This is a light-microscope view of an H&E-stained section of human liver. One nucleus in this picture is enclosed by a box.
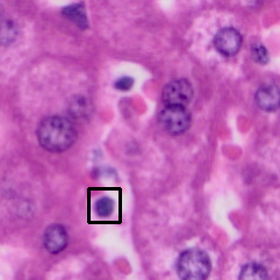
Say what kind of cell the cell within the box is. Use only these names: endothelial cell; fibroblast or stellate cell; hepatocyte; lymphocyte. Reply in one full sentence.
In this section of tissue, the cell within the box is a lymphocyte.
